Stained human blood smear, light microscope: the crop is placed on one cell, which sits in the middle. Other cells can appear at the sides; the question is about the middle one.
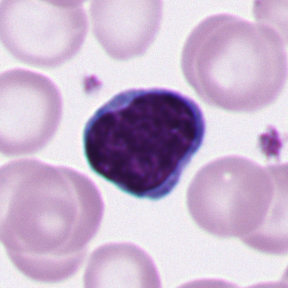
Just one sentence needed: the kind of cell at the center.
For this crop, the cell in the middle is a lymphocyte.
